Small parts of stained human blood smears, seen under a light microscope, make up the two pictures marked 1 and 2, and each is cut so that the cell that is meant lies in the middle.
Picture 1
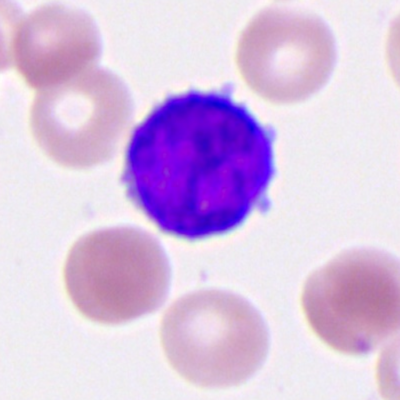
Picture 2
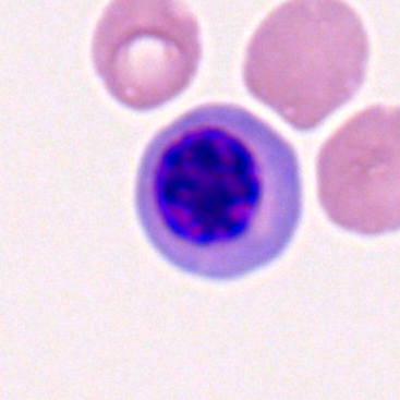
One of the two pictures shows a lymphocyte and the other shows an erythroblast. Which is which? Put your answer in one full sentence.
Picture 1 is of a lymphocyte, and picture 2 is of an erythroblast.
